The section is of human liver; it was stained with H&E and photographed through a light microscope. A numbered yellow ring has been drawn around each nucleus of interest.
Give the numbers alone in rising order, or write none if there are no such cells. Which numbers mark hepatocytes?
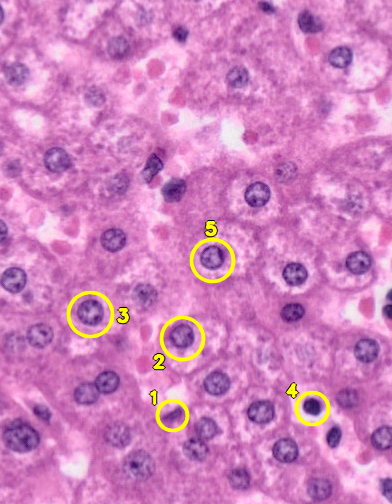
2, 3, 5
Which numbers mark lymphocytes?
4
